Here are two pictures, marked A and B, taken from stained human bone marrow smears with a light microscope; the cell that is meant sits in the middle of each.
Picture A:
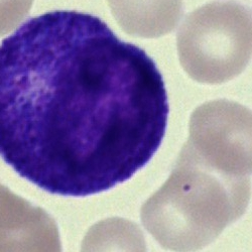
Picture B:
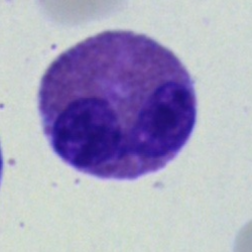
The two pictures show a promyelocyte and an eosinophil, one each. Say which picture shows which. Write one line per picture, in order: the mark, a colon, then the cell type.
A: promyelocyte
B: eosinophil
